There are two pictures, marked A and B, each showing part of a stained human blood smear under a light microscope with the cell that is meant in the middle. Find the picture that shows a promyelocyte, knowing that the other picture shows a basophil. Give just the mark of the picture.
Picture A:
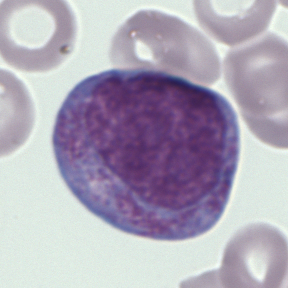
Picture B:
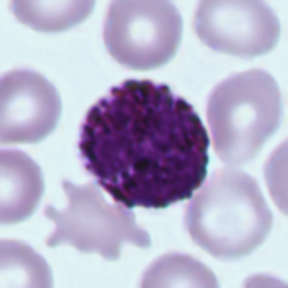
A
